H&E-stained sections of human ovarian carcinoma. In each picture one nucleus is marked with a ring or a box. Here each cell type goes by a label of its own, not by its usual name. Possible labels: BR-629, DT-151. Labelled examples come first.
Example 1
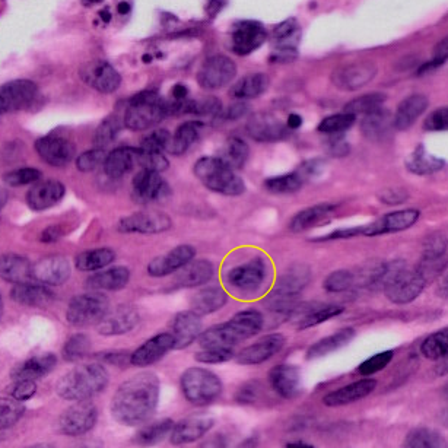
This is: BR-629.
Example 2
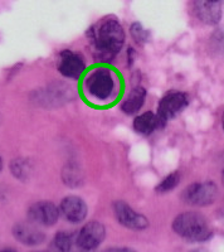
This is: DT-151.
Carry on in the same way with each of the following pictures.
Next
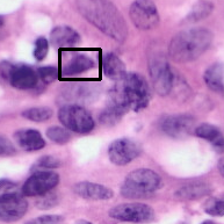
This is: DT-151.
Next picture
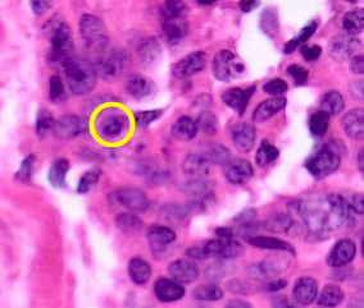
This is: BR-629.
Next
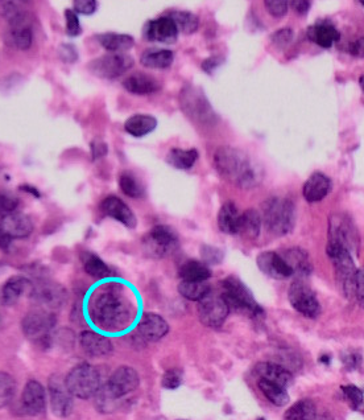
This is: DT-151.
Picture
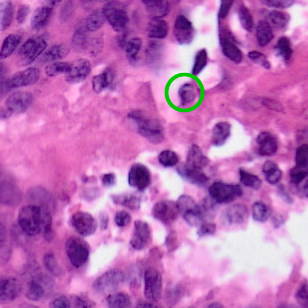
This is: BR-629.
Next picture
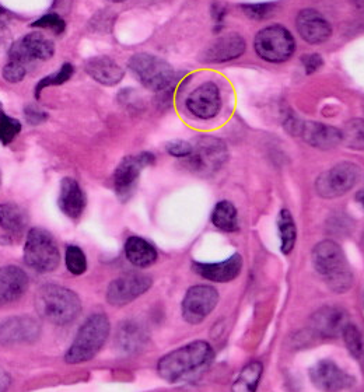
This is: BR-629.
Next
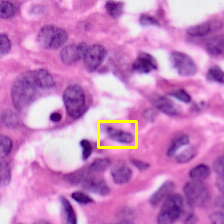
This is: BR-629.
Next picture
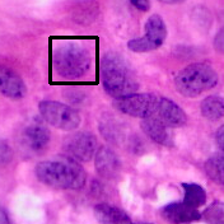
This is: DT-151.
